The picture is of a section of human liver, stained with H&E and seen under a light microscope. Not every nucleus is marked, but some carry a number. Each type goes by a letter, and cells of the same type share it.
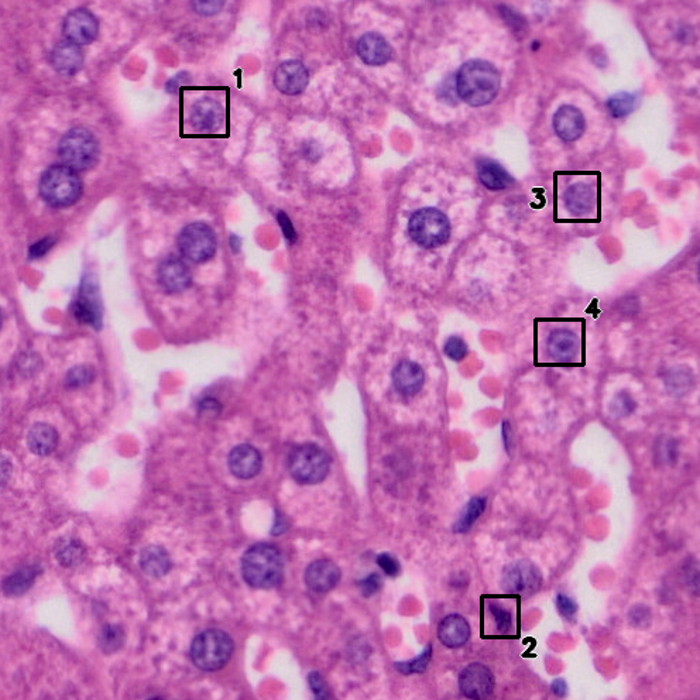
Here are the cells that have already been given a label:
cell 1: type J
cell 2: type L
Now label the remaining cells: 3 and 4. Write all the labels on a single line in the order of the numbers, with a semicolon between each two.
type J; type J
